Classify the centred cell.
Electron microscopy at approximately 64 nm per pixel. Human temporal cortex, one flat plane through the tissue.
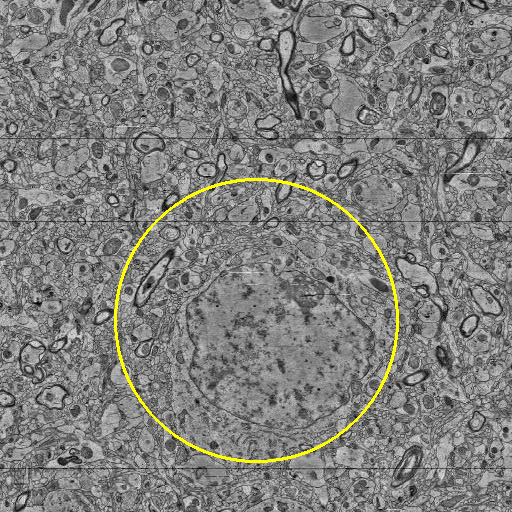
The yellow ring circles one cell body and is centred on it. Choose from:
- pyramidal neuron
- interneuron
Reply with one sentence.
The ring is centred on an interneuron.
